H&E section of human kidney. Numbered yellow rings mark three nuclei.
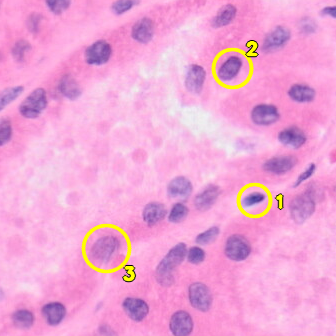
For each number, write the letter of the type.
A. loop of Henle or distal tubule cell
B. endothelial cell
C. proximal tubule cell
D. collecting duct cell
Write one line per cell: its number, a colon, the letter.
1: B
2: C
3: C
